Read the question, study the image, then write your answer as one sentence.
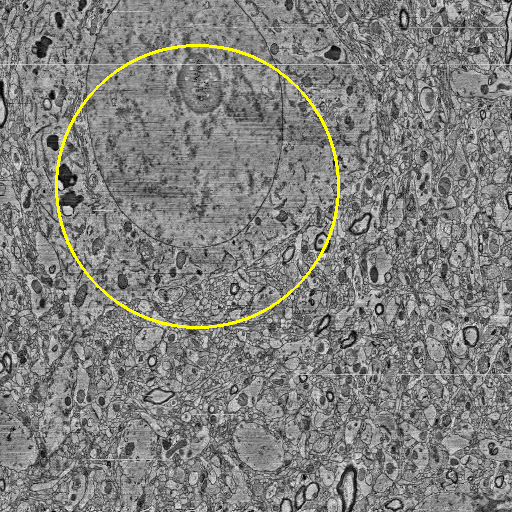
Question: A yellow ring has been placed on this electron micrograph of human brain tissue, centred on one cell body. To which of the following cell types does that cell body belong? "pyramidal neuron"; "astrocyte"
That cell body belongs to a pyramidal neuron.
